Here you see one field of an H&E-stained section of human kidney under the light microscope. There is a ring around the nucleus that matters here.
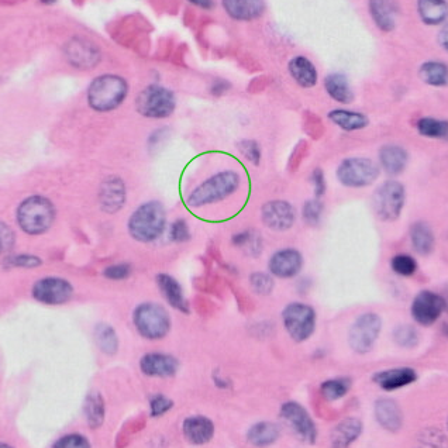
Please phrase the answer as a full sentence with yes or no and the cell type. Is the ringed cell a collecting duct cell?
Yes, it is the case that the ringed cell is a collecting duct cell.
